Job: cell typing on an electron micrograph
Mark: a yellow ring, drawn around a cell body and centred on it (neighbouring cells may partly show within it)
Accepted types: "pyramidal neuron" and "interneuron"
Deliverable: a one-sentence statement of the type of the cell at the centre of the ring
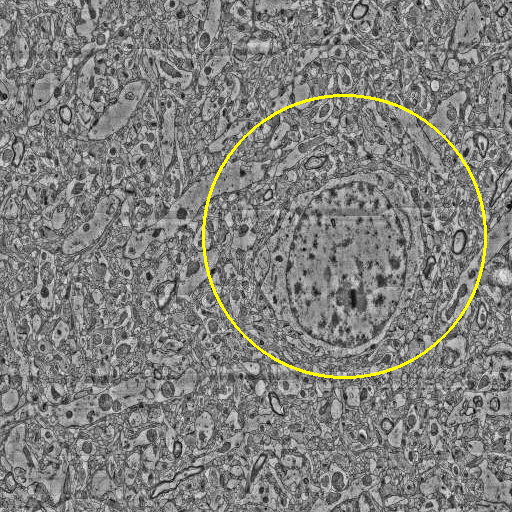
The centred cell body is that of an interneuron.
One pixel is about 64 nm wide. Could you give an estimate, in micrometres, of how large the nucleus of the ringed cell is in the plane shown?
The nucleus comes to roughly 10 by 8 micrometres in this plane.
